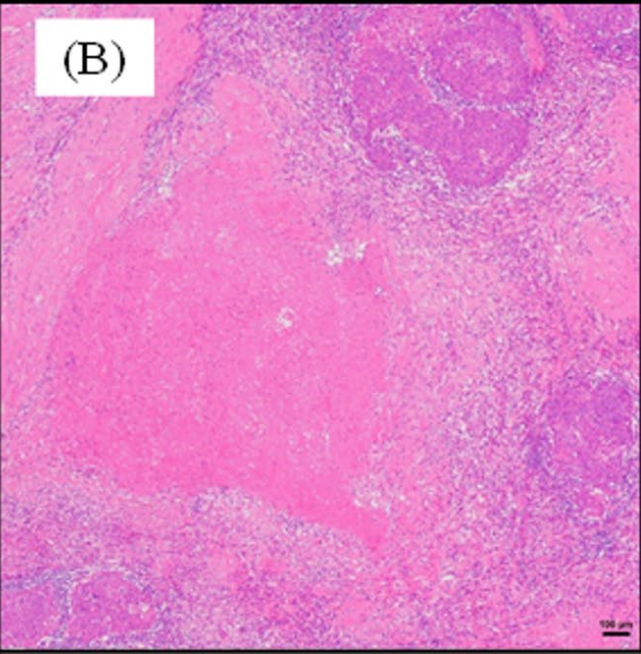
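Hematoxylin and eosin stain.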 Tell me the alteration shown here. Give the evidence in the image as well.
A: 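Necrotic area. A large, pale pink, structureless zone in the middle of the field. The zone lacks the purple nuclei seen in the surrounding tissue. Darker purple, cell-rich nests lie around its border.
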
